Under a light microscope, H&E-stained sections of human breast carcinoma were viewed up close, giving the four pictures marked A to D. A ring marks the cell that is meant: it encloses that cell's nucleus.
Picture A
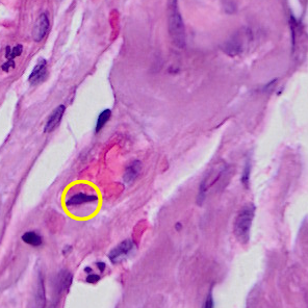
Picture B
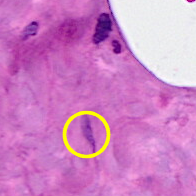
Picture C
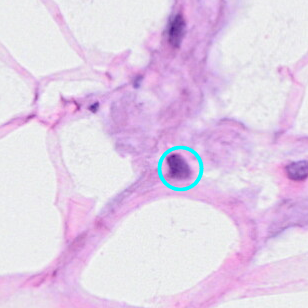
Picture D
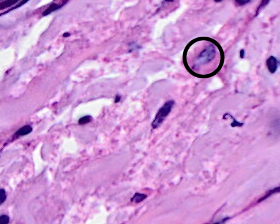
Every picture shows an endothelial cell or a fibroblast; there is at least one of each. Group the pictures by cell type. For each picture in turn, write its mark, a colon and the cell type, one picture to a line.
A: endothelial cell
B: fibroblast
C: fibroblast
D: endothelial cell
